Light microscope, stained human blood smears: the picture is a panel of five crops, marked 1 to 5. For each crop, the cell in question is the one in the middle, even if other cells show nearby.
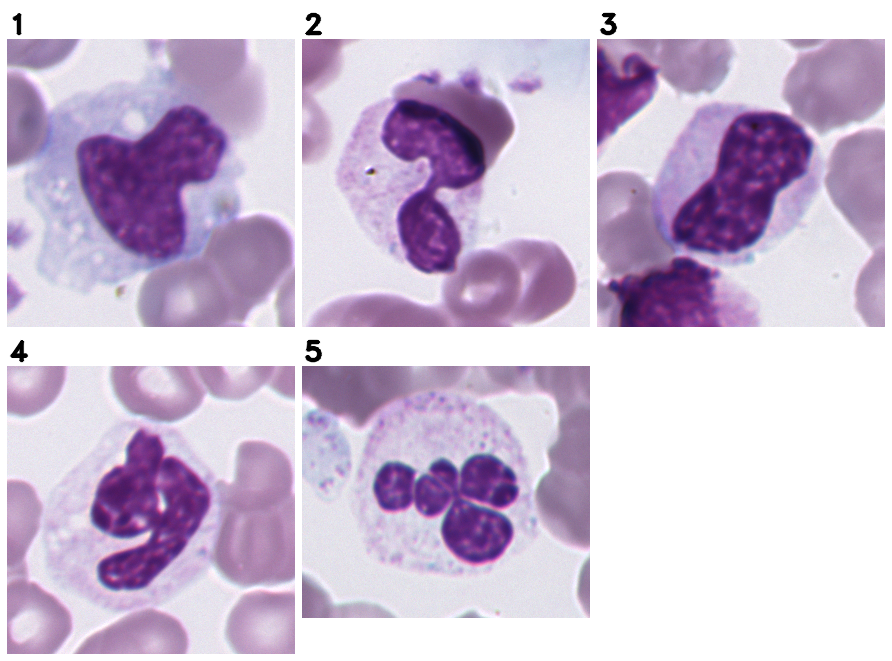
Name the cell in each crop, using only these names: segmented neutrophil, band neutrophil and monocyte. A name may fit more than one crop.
1: monocyte
2: segmented neutrophil
3: band neutrophil
4: segmented neutrophil
5: segmented neutrophil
